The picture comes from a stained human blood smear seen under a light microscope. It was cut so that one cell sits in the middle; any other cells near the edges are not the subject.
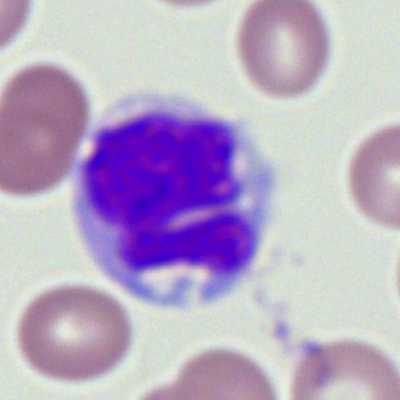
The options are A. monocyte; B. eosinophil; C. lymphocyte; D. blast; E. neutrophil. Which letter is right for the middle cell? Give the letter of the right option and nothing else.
A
